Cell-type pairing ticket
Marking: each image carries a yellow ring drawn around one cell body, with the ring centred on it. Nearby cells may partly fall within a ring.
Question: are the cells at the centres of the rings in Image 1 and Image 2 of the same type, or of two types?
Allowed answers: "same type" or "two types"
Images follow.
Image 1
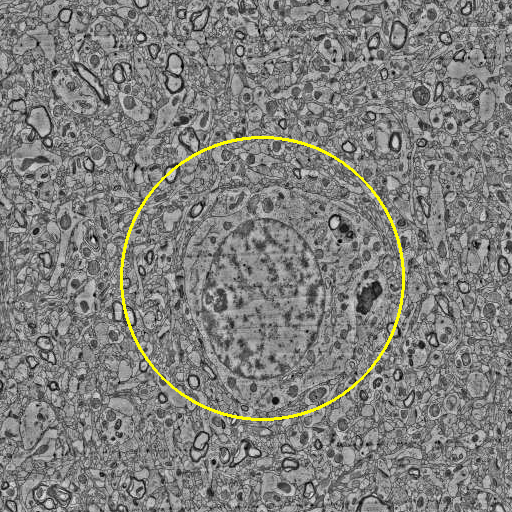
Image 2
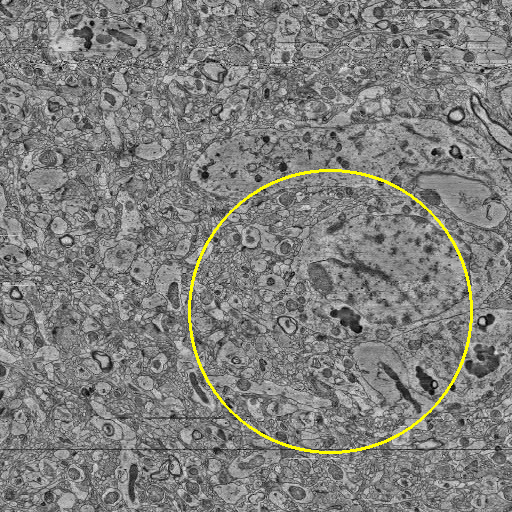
same type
